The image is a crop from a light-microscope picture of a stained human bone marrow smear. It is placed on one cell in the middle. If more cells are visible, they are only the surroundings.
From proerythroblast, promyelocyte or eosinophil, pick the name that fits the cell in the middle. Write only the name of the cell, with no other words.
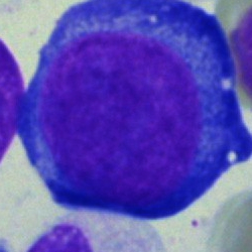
proerythroblast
